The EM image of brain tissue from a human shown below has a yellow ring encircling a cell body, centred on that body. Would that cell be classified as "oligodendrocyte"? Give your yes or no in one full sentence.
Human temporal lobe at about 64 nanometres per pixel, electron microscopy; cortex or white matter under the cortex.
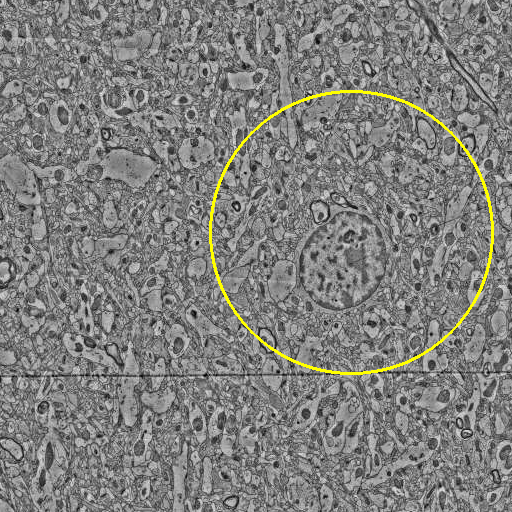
Yes, the cell at the centre of the ring in the picture falls in that class.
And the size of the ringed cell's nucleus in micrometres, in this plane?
In this plane, the nucleus measures approximately 6 micrometres across.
